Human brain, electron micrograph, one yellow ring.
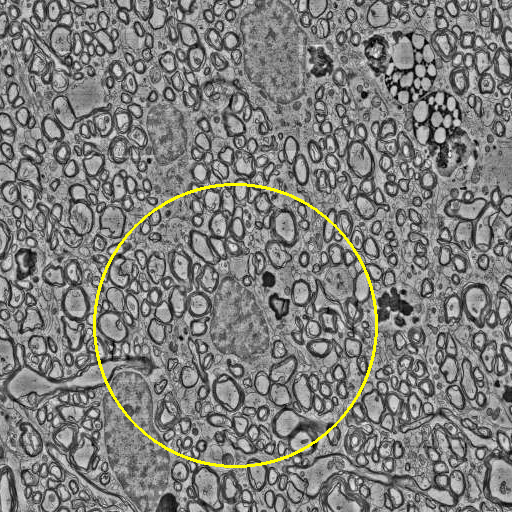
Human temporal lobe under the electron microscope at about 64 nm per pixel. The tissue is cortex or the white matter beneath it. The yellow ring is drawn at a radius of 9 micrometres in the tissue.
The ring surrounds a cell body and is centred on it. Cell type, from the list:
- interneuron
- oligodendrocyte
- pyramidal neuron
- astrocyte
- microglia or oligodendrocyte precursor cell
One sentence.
The yellow ring circles an oligodendrocyte.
